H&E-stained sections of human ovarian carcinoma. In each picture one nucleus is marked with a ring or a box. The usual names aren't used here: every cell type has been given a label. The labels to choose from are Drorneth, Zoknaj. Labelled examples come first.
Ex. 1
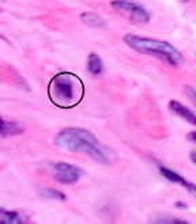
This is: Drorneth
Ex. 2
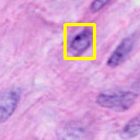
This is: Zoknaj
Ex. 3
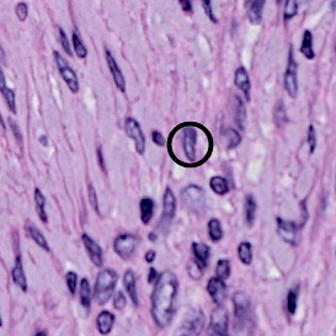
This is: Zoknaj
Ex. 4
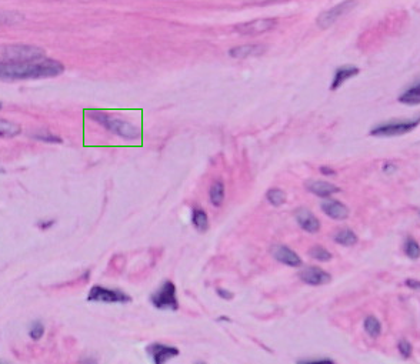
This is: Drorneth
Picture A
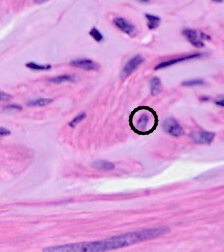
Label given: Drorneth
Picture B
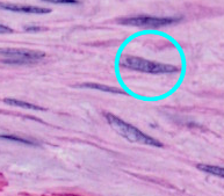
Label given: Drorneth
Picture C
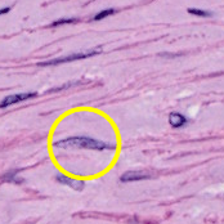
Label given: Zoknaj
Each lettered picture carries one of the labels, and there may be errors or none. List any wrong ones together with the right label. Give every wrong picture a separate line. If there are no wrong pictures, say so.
B: Zoknaj, not Drorneth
